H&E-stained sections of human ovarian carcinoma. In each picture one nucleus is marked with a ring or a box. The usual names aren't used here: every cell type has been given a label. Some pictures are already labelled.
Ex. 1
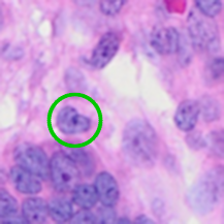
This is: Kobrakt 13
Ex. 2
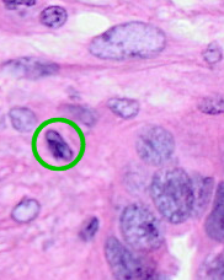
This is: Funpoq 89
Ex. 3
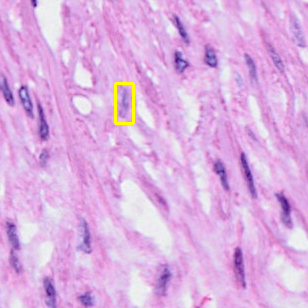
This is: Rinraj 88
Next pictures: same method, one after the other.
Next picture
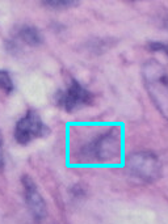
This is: Rinraj 88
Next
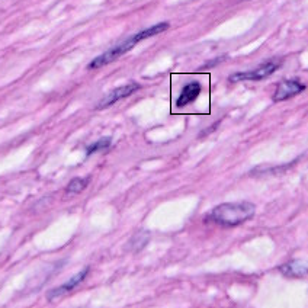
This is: Funpoq 89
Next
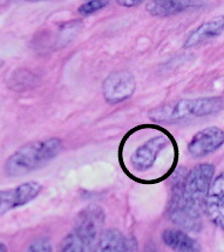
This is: Kobrakt 13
